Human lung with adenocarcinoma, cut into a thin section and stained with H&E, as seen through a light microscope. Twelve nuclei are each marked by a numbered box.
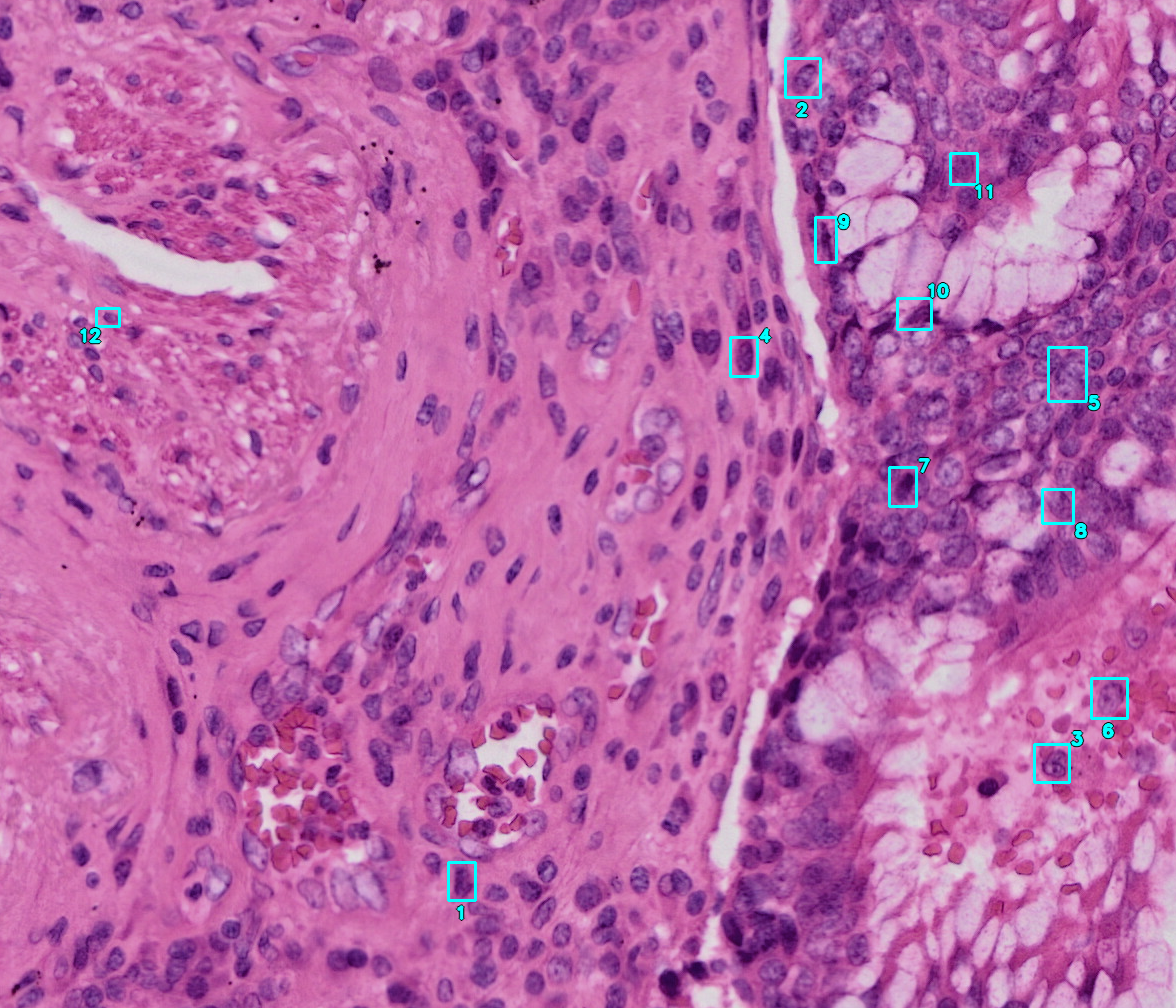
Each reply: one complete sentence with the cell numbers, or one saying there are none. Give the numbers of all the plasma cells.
The cells with the numbers 1 and 4 are plasma cells.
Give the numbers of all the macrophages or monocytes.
The numbers 3 and 6 mark cells that are macrophages or monocytes.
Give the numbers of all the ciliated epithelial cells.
The cells tagged with numbers 2, 5, 7, 8, 9, 10 and 11 are ciliated epithelial cells.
